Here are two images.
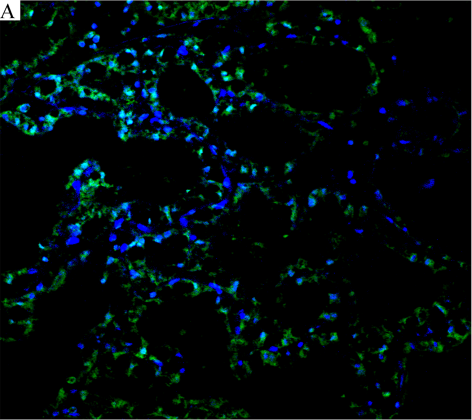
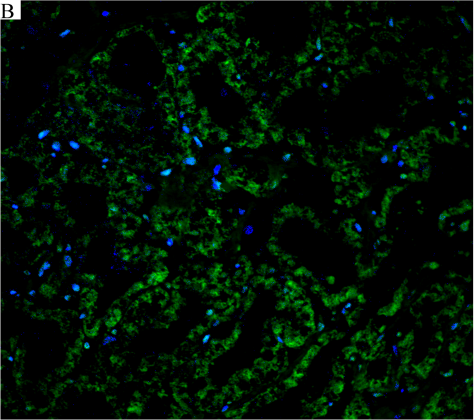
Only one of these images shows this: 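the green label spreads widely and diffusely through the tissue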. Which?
the second image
